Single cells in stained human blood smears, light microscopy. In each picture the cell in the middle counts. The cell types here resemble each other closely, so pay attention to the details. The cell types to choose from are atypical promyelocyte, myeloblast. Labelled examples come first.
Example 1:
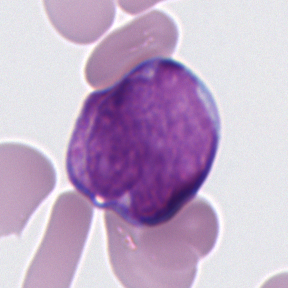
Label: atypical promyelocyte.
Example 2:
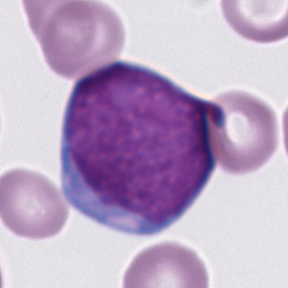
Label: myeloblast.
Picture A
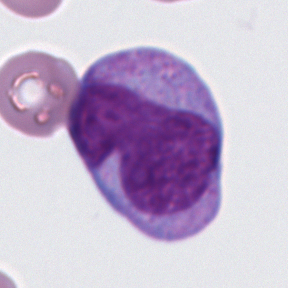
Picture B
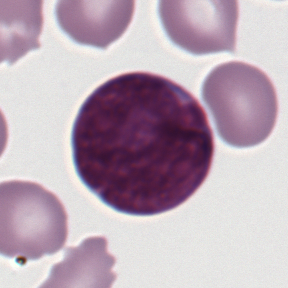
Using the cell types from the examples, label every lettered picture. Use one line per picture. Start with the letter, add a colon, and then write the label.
A: atypical promyelocyte.
B: myeloblast.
